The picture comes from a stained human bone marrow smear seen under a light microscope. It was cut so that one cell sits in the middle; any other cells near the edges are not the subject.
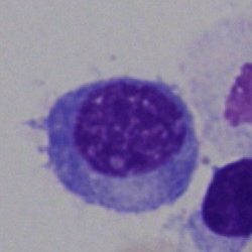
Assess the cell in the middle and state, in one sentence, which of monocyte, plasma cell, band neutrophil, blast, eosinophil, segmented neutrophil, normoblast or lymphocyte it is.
The centrally positioned cell in the crop represents a plasma cell.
